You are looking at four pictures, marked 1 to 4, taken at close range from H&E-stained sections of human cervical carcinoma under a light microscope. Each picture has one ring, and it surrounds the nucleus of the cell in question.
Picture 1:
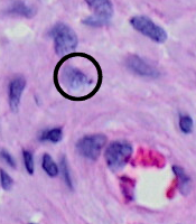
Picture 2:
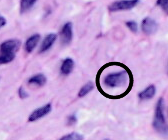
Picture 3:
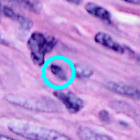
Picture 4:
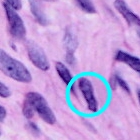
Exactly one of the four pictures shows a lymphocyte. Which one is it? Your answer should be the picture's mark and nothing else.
3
